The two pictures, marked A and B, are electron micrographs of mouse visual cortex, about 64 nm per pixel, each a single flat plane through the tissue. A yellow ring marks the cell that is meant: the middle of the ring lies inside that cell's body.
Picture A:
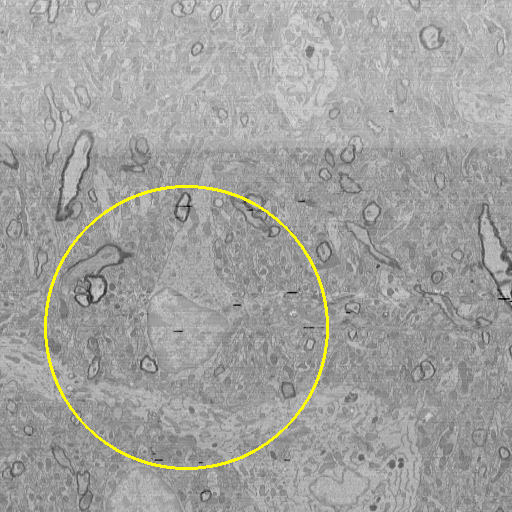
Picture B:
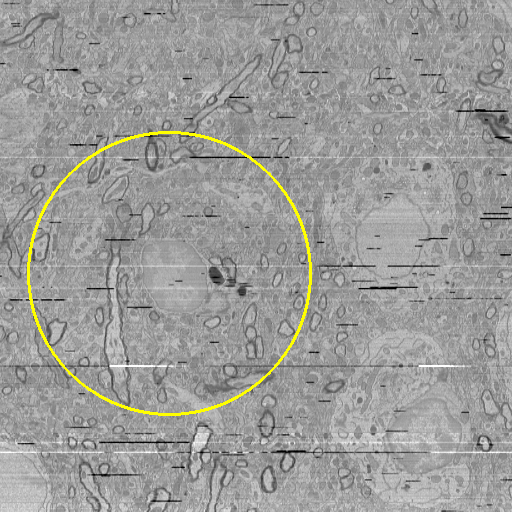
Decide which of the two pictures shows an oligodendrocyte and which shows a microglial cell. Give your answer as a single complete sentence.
It is picture A that shows an oligodendrocyte, and picture B that shows a microglial cell.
